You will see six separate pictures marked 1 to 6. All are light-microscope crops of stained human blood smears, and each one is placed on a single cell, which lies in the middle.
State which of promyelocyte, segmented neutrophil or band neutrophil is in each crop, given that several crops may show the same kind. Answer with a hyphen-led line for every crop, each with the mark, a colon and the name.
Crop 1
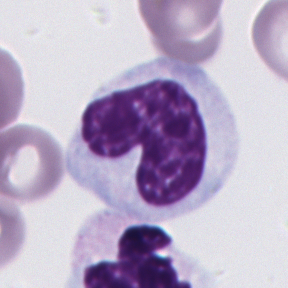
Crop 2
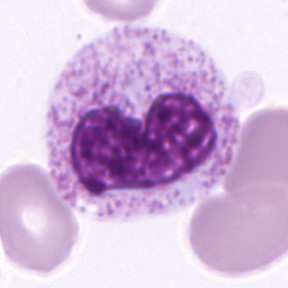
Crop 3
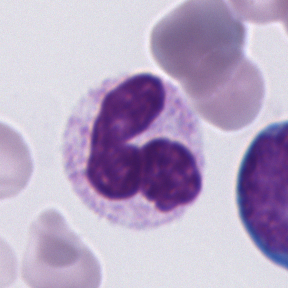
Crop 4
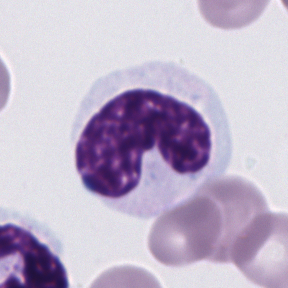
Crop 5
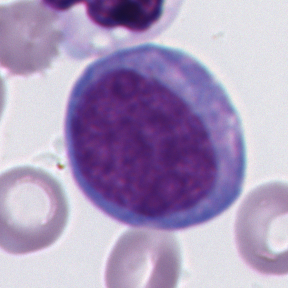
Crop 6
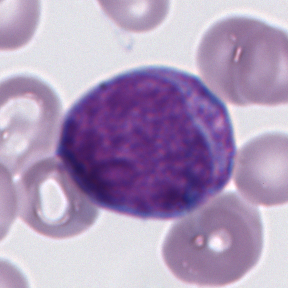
- 1: band neutrophil
- 2: band neutrophil
- 3: segmented neutrophil
- 4: band neutrophil
- 5: promyelocyte
- 6: promyelocyte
